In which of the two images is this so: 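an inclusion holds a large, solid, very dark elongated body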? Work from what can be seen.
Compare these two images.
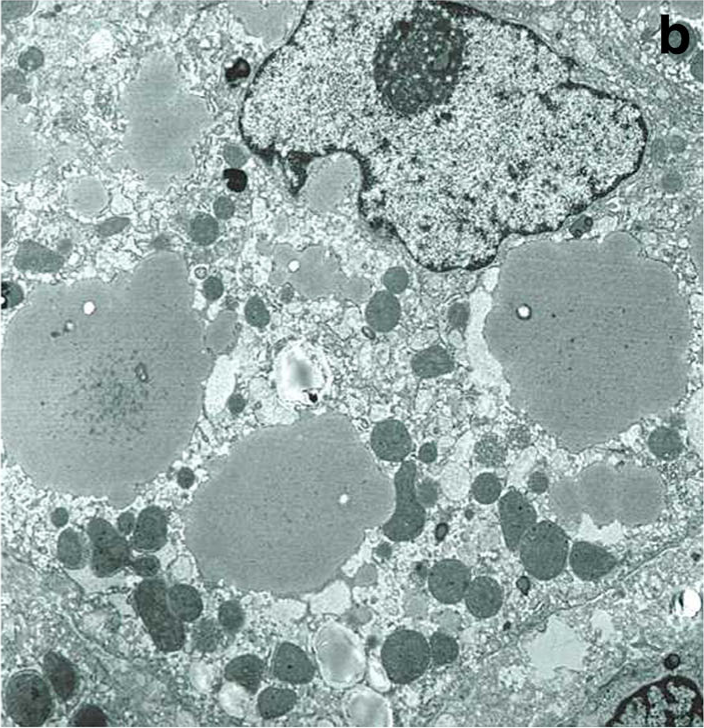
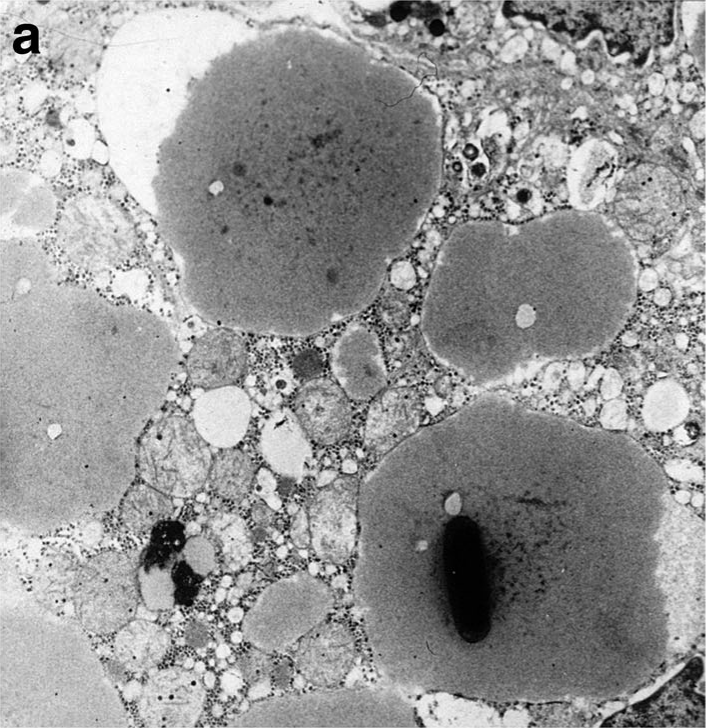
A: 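First image: the large grey inclusions hold at most faint sparse dark specks. Second image: one large inclusion contains a solid, very dark elongated rod.
Hence: the second image.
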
